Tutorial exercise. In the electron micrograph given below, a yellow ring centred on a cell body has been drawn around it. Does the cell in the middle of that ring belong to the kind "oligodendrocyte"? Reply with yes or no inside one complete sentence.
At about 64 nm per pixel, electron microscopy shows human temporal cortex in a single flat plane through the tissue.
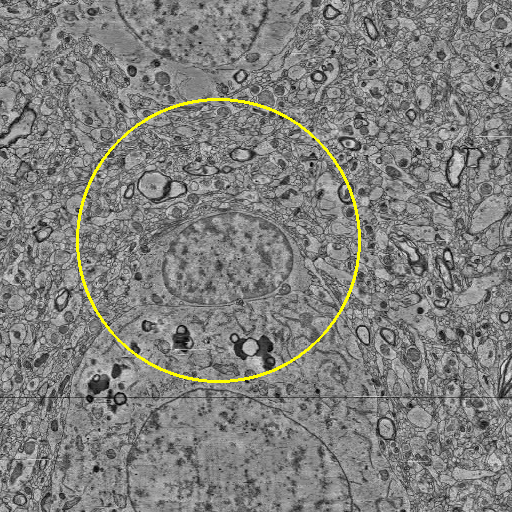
Yes, the cell at the centre of the ring in the picture is of that kind.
